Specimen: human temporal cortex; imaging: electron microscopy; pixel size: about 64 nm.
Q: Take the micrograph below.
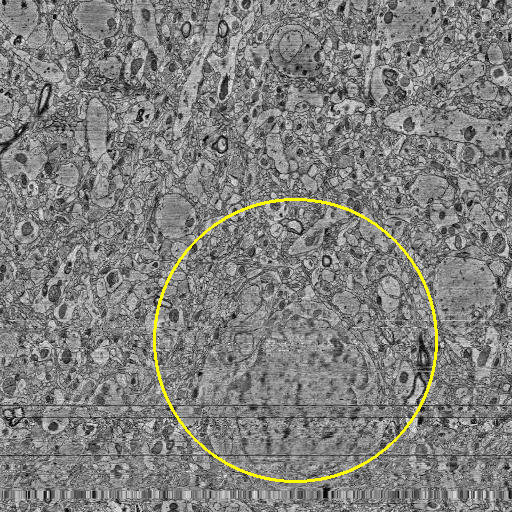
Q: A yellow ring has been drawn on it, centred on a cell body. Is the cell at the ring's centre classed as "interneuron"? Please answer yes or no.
Yes, that is its kind.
